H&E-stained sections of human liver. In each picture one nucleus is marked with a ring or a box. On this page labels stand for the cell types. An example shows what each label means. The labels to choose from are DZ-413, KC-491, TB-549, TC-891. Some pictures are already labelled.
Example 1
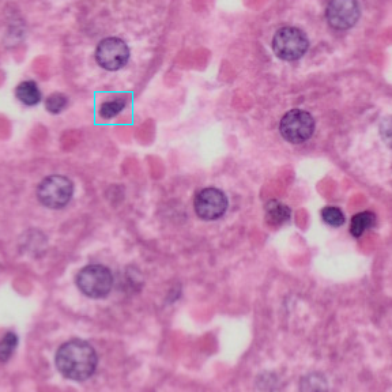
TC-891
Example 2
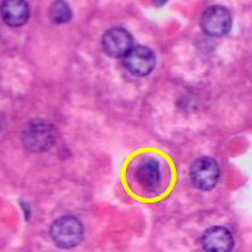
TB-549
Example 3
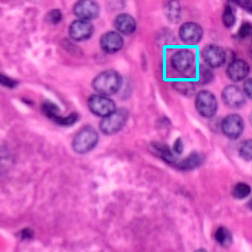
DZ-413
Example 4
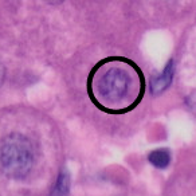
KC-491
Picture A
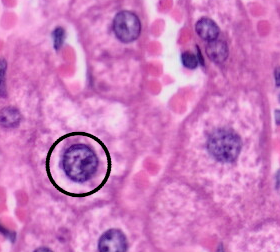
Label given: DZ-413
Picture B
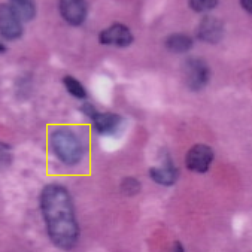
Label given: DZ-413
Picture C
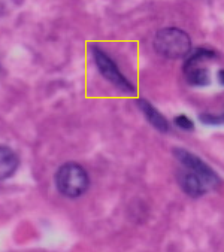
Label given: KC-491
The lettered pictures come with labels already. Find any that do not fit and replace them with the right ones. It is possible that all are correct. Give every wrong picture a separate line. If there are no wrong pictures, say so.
A: change DZ-413 to KC-491
C: change KC-491 to TC-891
